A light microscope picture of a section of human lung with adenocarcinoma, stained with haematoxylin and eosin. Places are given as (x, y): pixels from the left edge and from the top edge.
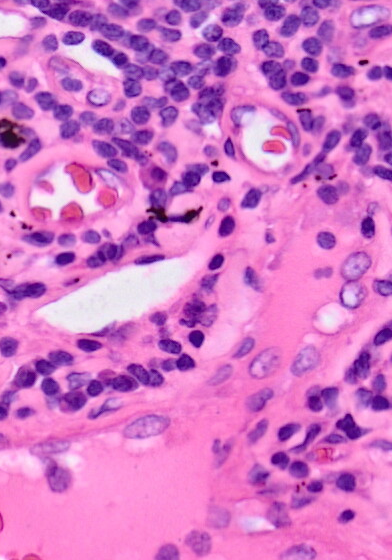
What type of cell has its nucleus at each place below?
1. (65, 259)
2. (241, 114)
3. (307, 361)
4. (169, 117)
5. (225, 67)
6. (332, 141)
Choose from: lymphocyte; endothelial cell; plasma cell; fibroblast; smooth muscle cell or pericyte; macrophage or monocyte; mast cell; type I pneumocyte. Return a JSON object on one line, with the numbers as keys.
{"1": "lymphocyte", "2": "endothelial cell", "3": "endothelial cell", "4": "lymphocyte", "5": "lymphocyte", "6": "lymphocyte"}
